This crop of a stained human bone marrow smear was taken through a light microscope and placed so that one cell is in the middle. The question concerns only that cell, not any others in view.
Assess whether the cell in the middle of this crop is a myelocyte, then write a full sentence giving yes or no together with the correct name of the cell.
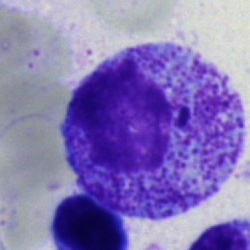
Yes, the cell in the middle is recognised as a myelocyte.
